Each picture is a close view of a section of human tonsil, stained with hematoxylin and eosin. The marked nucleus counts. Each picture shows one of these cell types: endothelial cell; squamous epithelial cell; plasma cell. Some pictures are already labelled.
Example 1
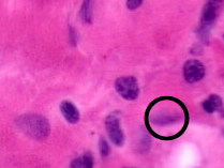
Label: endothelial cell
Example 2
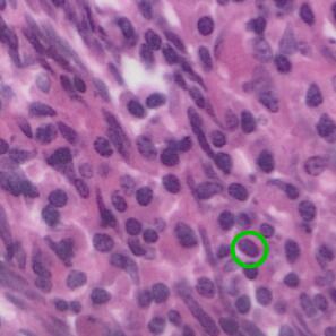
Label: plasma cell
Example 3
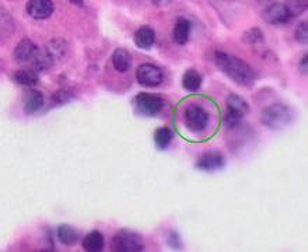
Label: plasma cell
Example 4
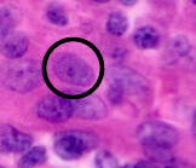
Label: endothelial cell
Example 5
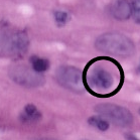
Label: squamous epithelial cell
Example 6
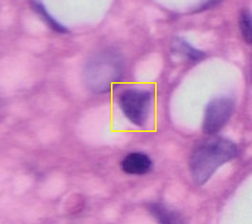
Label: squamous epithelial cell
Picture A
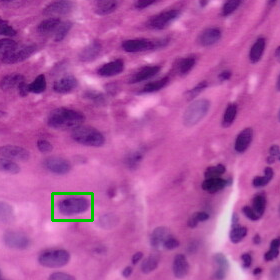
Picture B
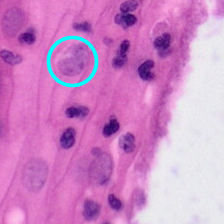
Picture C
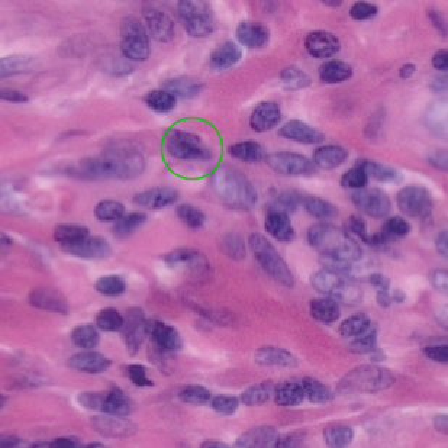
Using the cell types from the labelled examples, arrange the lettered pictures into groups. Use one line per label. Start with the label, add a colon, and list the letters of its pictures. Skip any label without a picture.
endothelial cell: C
squamous epithelial cell: A, B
